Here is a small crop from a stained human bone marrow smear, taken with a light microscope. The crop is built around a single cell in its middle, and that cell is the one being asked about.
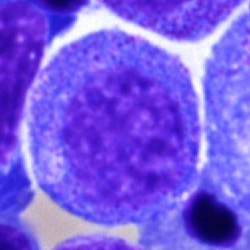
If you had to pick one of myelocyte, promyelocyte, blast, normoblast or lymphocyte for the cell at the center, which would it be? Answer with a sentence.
For this crop, the central cell is a promyelocyte.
